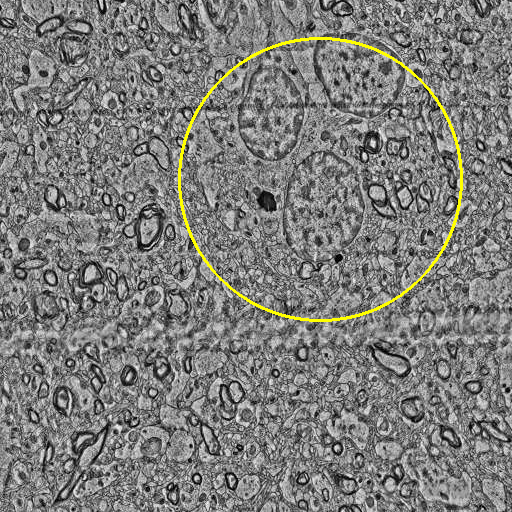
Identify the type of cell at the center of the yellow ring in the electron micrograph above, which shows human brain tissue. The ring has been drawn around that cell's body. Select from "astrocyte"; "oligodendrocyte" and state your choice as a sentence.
The yellow ring is centered on the body of an oligodendrocyte.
